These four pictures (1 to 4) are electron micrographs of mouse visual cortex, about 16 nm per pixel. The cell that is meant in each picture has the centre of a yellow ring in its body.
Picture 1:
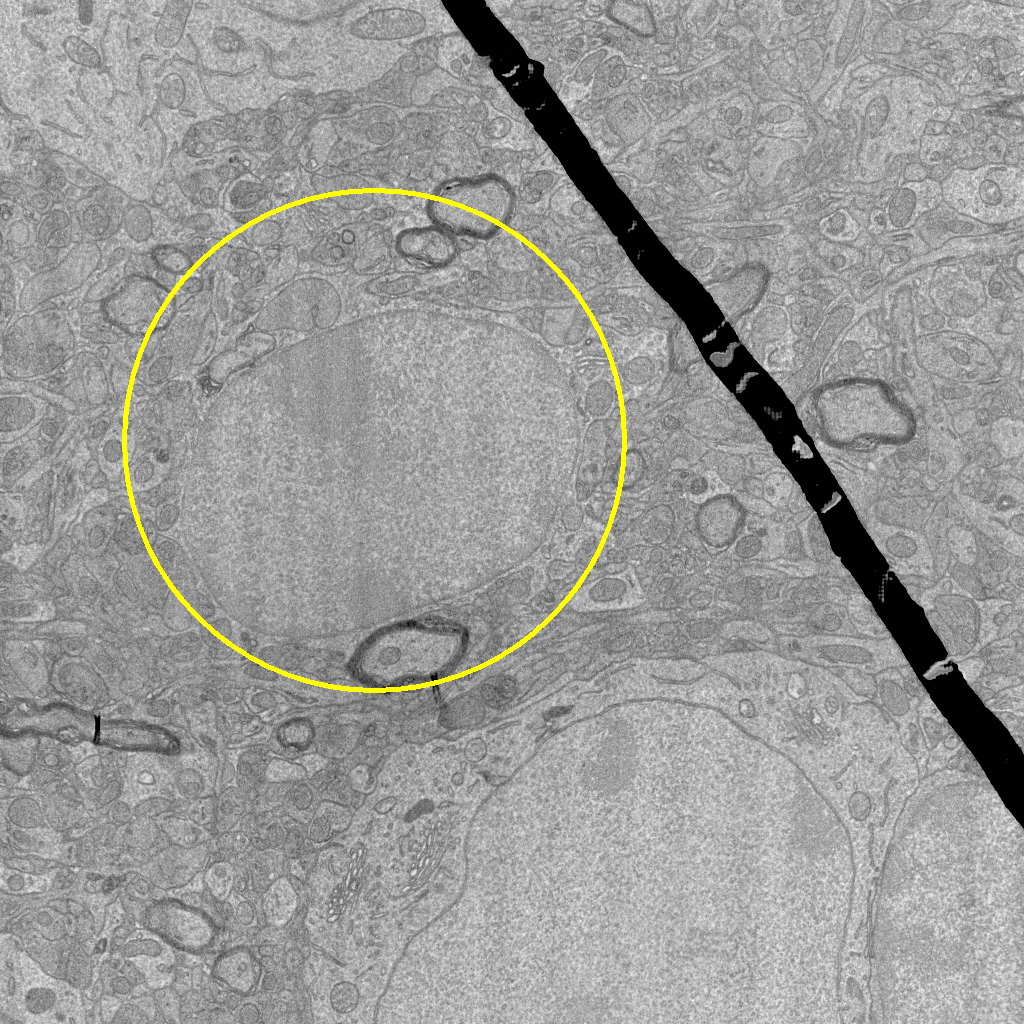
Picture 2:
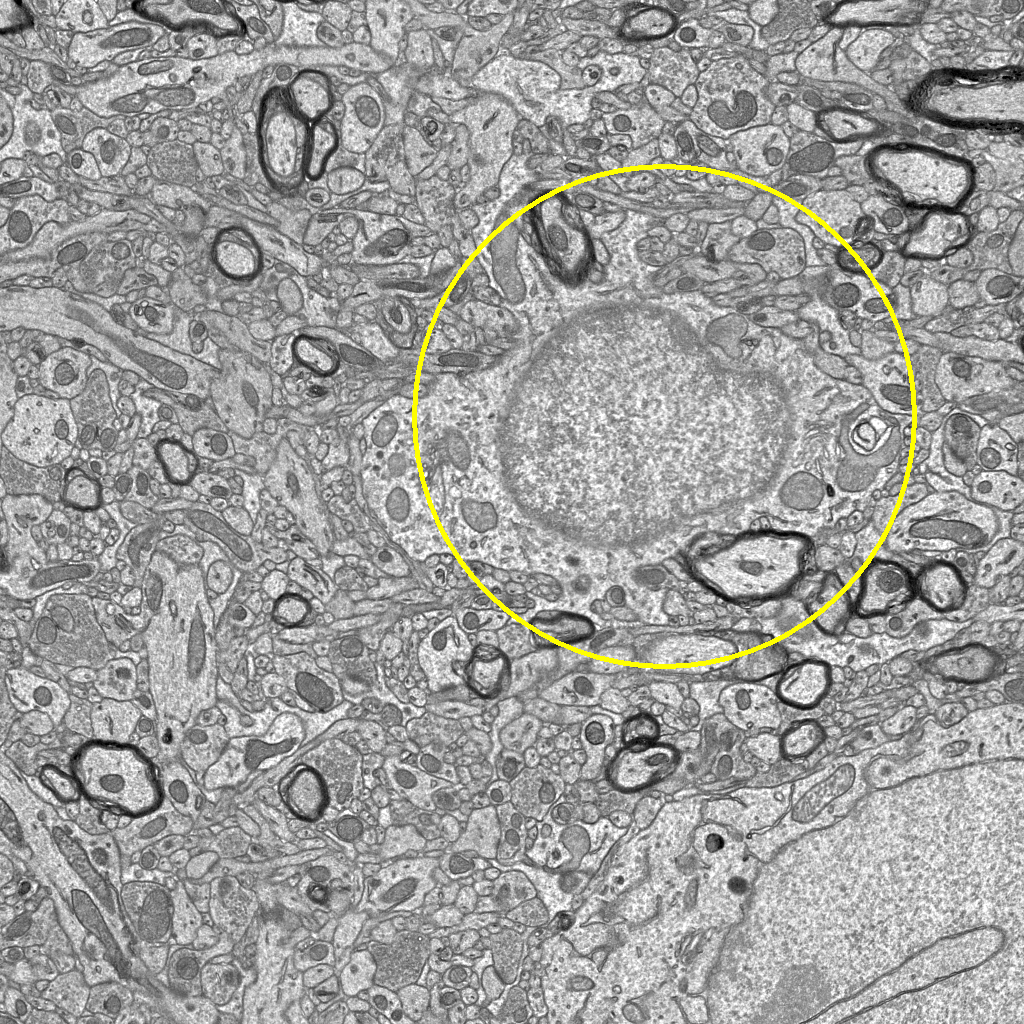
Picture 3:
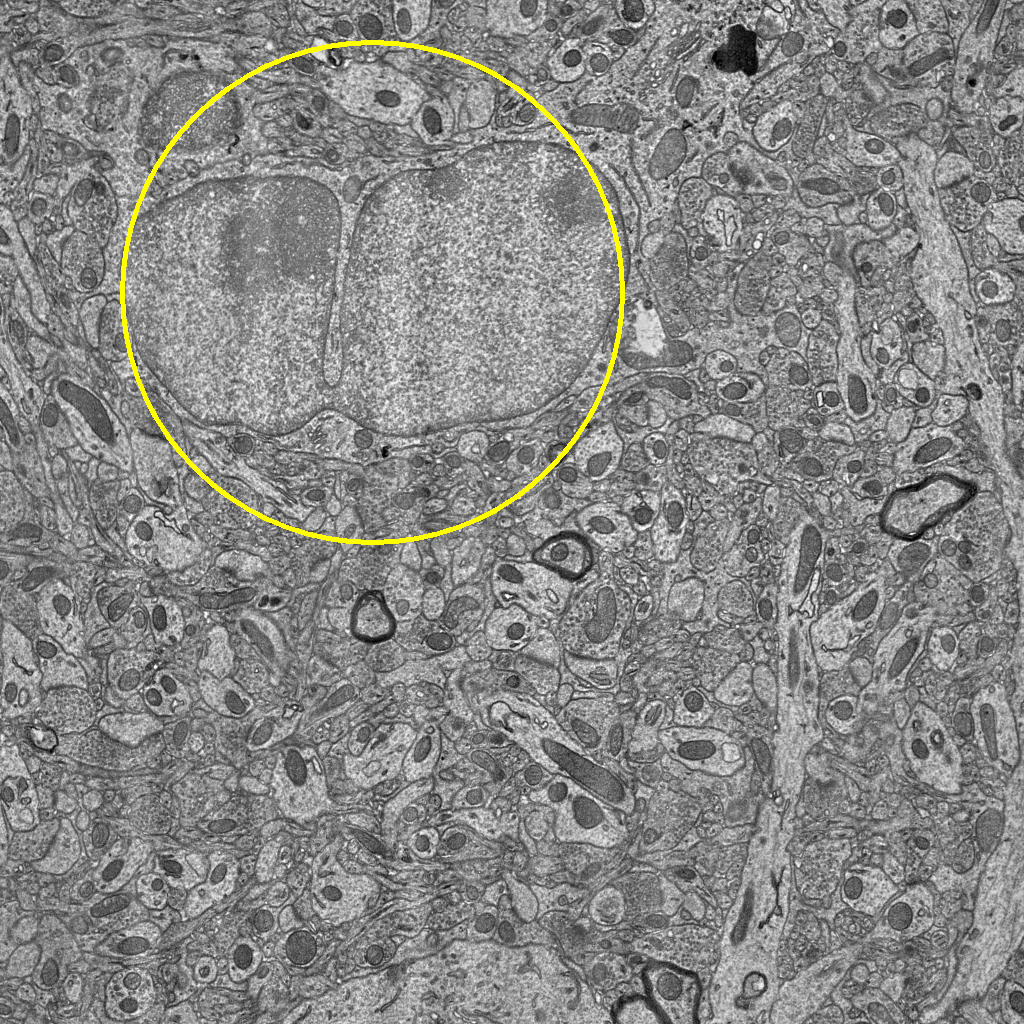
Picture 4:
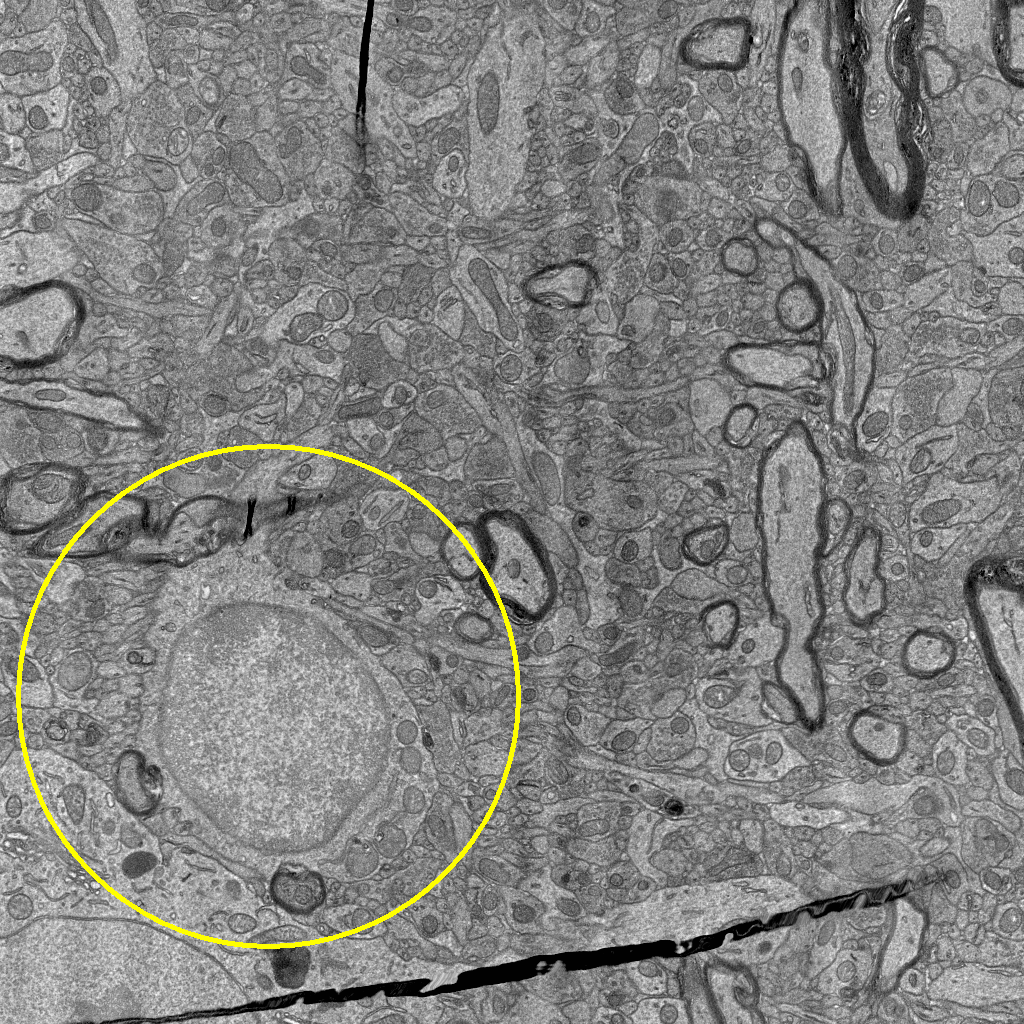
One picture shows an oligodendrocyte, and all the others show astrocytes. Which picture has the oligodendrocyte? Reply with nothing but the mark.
4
